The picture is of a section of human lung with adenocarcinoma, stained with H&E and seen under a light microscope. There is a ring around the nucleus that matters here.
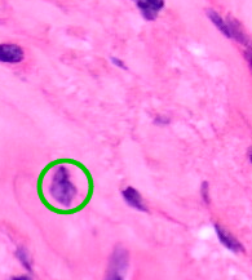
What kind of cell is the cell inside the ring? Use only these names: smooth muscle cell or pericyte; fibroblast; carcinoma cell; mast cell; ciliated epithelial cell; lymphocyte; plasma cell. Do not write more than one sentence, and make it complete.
Right, so the cell inside the ring is a fibroblast, to answer that.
